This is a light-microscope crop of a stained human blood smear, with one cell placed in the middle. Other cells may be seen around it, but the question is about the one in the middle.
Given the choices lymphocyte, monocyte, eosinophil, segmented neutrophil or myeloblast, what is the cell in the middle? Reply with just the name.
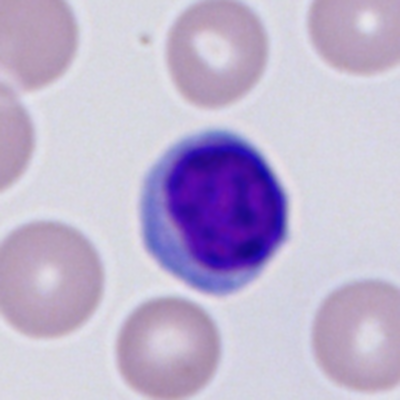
lymphocyte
